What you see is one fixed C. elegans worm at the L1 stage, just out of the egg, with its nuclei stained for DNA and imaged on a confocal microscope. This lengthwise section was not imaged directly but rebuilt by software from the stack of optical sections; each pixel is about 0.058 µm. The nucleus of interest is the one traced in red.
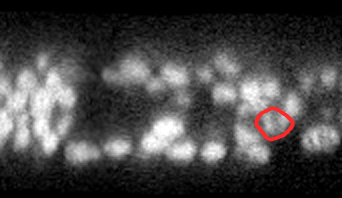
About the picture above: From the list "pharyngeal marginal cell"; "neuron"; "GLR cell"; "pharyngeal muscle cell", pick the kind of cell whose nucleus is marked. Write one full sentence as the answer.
The nucleus comes from a pharyngeal marginal cell.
